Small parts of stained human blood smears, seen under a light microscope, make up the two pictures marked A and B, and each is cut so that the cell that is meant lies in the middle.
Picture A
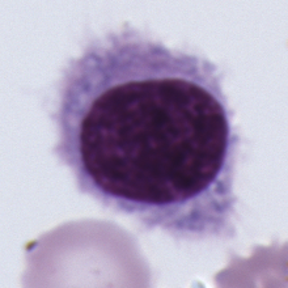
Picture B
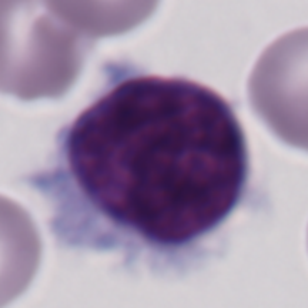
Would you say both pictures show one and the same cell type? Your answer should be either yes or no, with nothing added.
yes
